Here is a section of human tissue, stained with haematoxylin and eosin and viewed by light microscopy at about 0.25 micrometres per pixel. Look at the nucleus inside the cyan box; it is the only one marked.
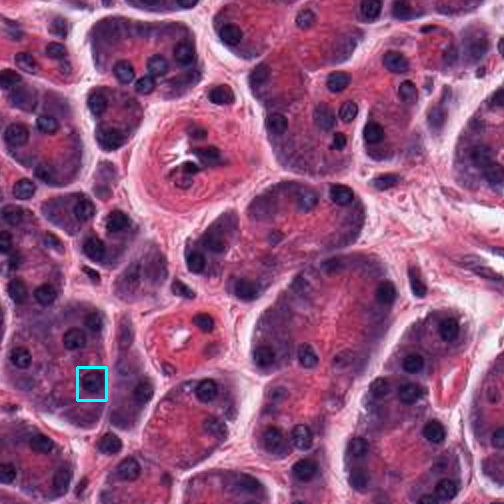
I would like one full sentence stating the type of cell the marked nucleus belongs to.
The marked nucleus is one that belongs to a pancreatic acinar cell.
